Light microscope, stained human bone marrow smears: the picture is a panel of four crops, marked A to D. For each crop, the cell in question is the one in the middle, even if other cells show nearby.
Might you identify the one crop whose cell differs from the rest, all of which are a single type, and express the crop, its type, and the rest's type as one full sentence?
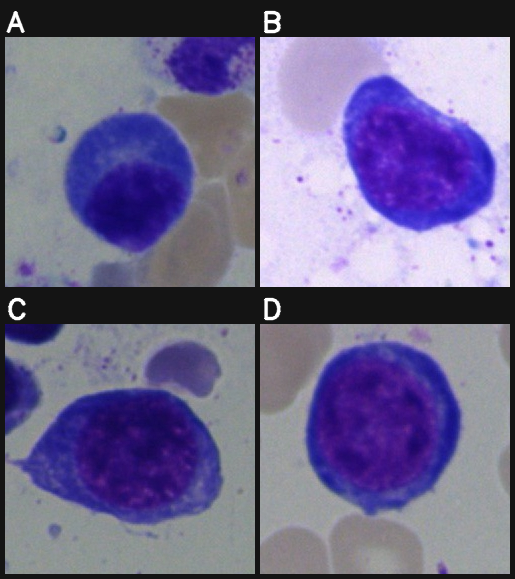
Every crop but one shows proerythroblasts; the exception, crop A, shows a plasma cell.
